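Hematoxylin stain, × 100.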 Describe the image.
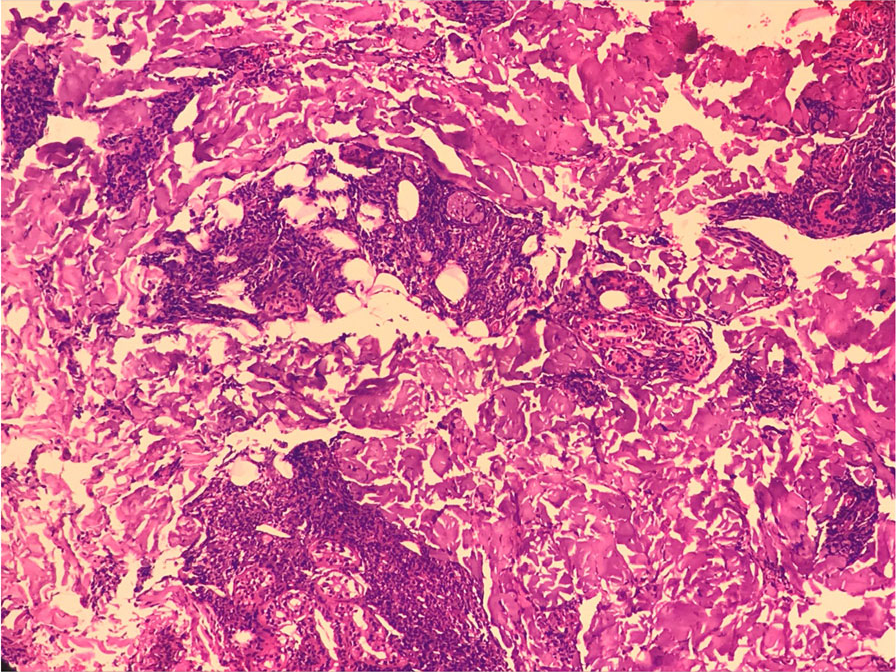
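This is a low-power view of dermis, with a patchy inflammatory infiltrate lying among thick collagen. Most of the field is taken up by broad, pink, fragmented collagen bundles with pale clefts between them. Scattered through it are well-demarcated patches crowded with dark-blue nuclei, the largest at the lower left and in the upper middle. Within and beside these patches lie small round tubular and glandular profiles and a few clear round spaces. The inflammatory cells cluster around these adnexal structures instead of spreading evenly through the collagen.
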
